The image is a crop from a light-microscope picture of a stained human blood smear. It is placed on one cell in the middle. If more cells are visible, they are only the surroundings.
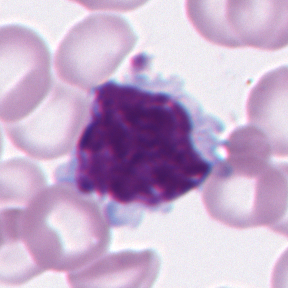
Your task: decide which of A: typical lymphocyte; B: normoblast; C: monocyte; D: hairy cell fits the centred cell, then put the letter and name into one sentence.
Option A correctly states that the central cell is a typical lymphocyte.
